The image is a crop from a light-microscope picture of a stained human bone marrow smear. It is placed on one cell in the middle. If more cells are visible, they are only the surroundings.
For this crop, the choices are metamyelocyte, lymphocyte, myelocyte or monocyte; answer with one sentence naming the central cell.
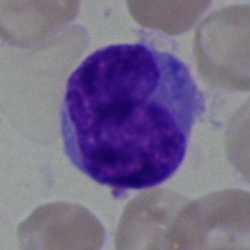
To answer, the cell in the center of the crop is a monocyte.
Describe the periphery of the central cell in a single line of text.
The periphery of this cell is uneven, with ragged portions or projections.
